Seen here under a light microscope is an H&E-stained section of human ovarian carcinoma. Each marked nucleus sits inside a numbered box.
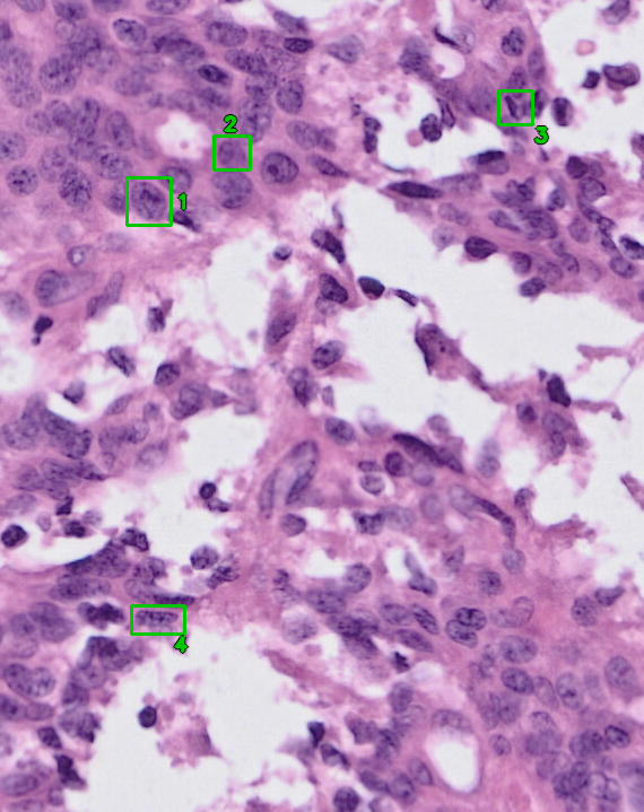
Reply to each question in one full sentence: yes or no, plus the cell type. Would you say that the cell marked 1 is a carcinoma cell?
Yes, a carcinoma cell is what the cell numbered 1 is.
